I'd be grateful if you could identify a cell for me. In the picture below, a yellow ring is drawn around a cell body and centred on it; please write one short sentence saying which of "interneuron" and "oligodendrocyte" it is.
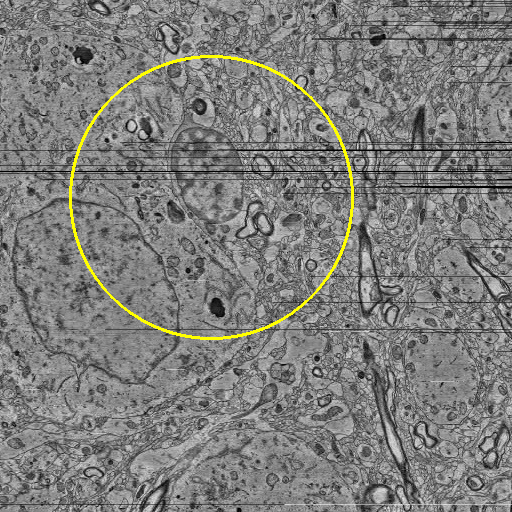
The cell under the ring's centre is an oligodendrocyte.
